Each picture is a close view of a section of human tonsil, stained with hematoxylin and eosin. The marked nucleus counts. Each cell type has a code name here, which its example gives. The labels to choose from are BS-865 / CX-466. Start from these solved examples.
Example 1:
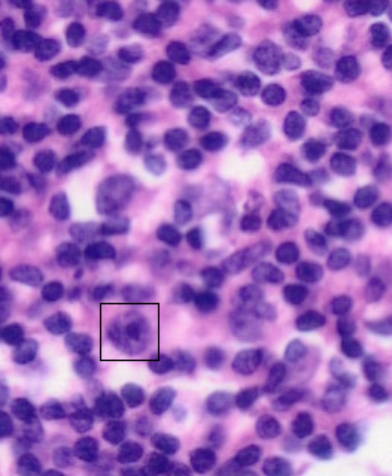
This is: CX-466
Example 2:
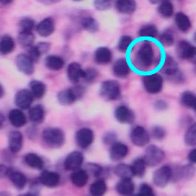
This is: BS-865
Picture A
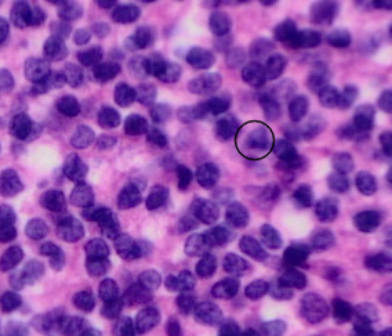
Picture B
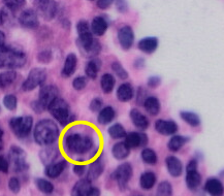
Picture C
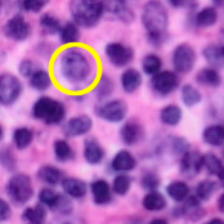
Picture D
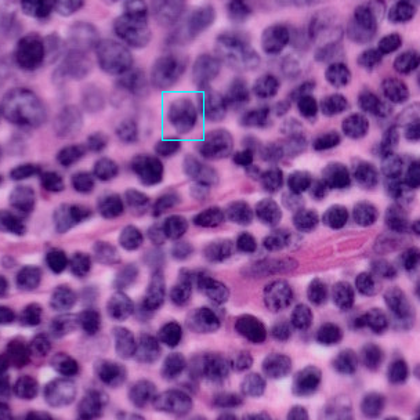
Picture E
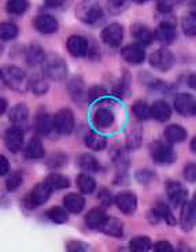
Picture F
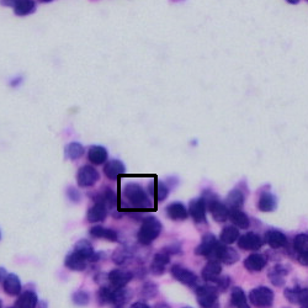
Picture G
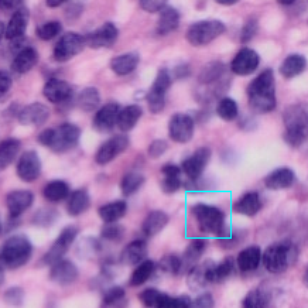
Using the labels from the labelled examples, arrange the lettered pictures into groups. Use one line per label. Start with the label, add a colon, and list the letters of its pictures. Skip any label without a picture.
BS-865: A, E, F
CX-466: B, C, D, G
